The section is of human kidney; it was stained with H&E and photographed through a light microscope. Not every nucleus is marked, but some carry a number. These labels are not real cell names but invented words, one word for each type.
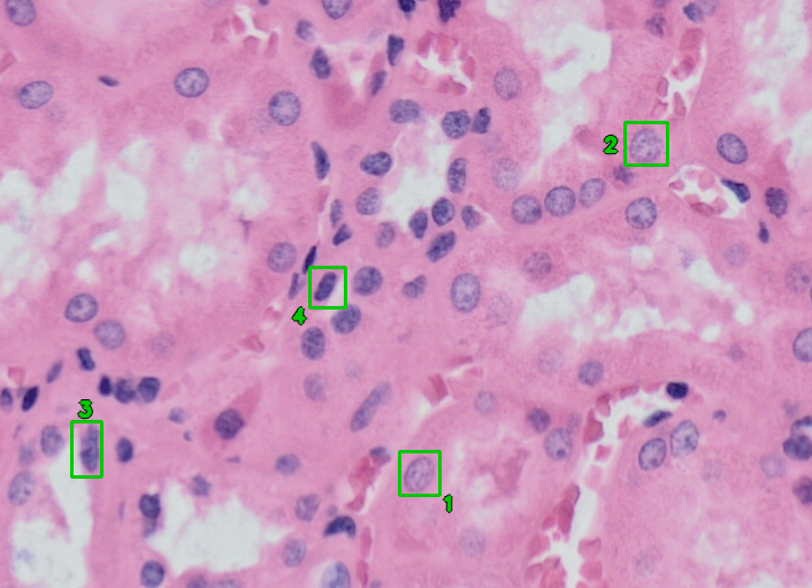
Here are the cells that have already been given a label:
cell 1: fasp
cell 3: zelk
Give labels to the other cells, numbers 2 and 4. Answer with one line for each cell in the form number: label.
2: fasp
4: zelk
